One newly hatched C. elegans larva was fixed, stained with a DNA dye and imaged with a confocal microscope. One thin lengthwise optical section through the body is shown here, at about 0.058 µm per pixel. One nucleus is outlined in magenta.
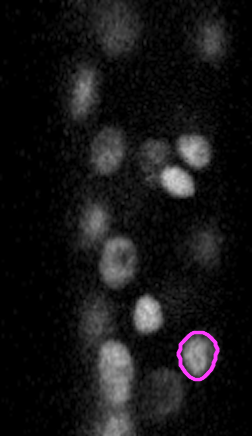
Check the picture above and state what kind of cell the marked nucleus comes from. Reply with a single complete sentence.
The marked nucleus belongs to a body wall muscle cell.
